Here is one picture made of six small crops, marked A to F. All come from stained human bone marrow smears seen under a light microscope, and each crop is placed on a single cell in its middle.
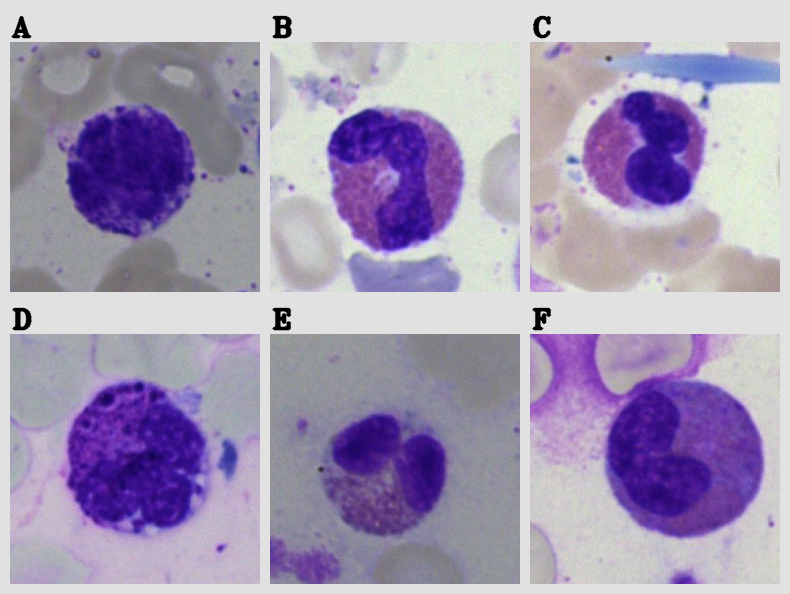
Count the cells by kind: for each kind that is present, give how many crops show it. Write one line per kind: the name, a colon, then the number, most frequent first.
eosinophil: 4
basophil: 2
